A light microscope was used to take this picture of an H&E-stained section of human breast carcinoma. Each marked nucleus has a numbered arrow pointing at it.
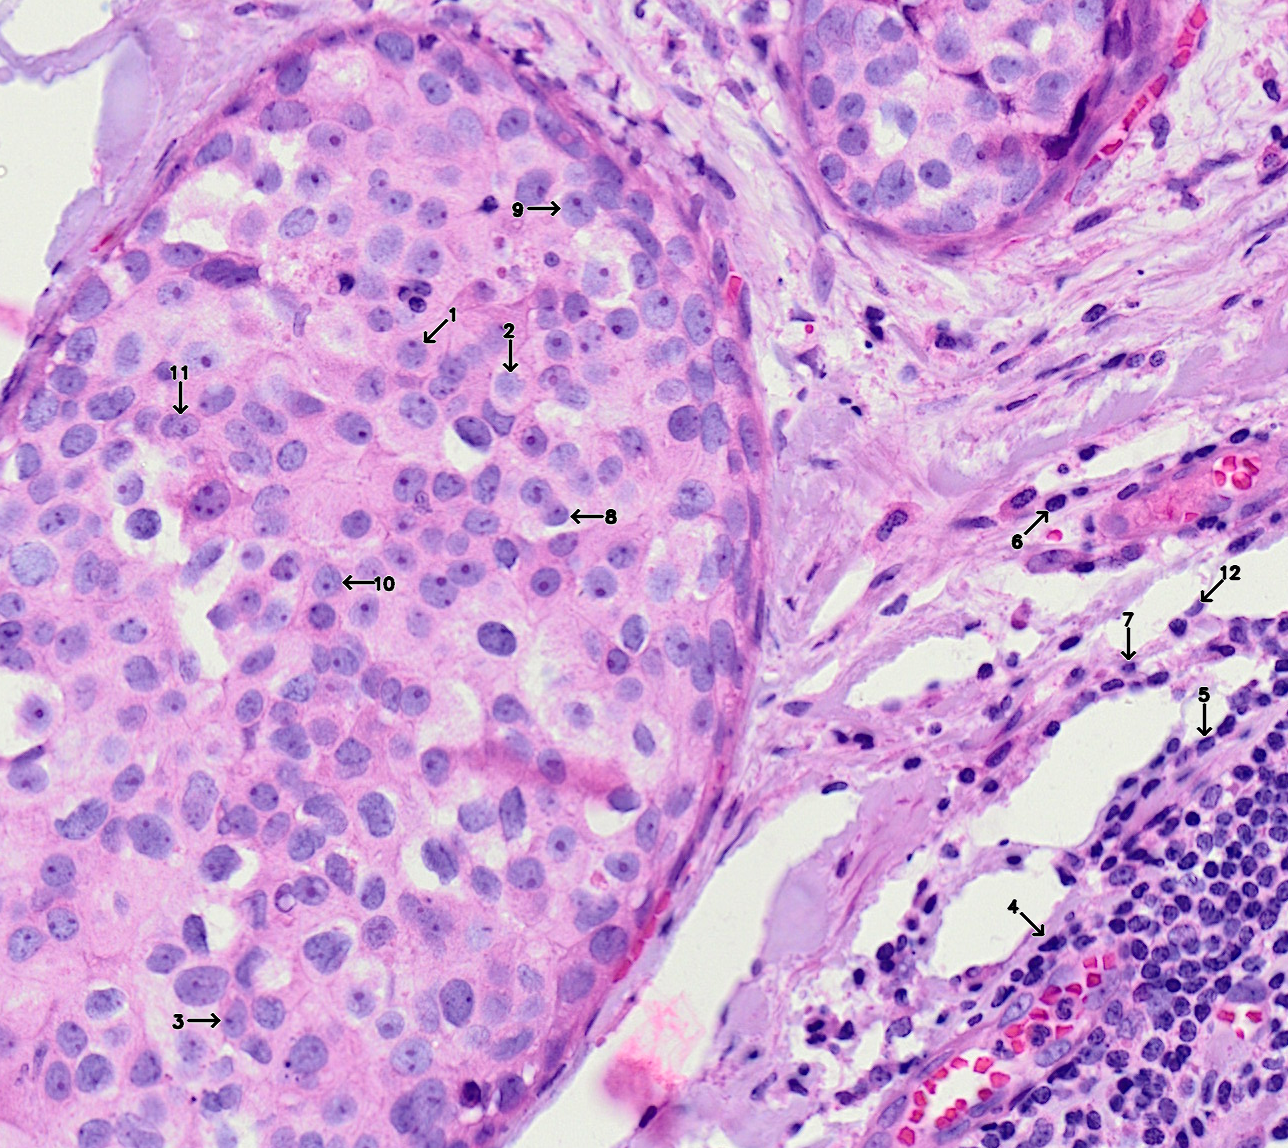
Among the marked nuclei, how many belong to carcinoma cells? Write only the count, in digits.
7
